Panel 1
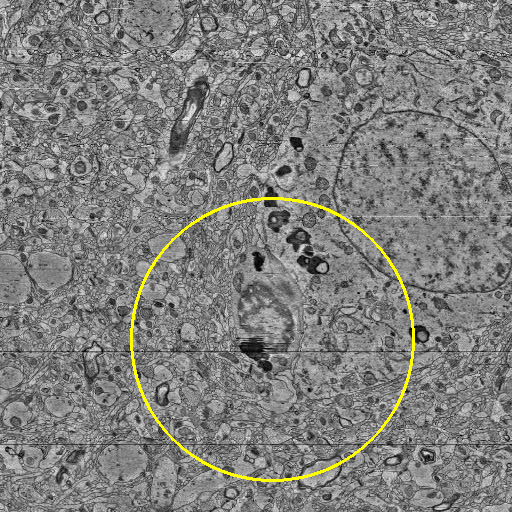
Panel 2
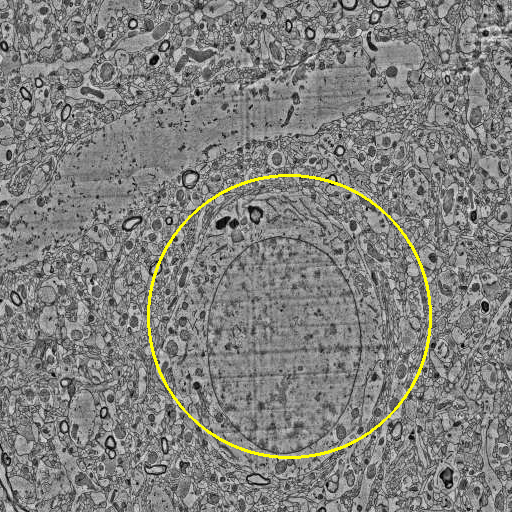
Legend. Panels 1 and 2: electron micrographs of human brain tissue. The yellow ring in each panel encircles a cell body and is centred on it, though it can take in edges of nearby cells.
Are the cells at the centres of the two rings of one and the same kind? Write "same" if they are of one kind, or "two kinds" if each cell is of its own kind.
two kinds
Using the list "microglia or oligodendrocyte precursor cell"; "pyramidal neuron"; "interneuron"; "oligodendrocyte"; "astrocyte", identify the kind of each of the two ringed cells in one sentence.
The first is an oligodendrocyte and the second is a pyramidal neuron.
